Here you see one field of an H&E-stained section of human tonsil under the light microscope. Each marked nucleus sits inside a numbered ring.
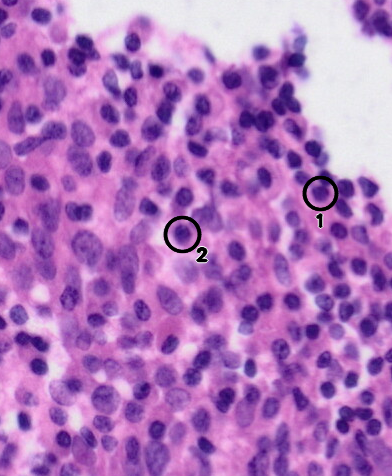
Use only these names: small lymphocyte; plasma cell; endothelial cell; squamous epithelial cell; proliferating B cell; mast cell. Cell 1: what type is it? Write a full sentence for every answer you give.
Here, the cell given the number 1 is a small lymphocyte.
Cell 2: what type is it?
Cell 2, among those numbered, is a plasma cell.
